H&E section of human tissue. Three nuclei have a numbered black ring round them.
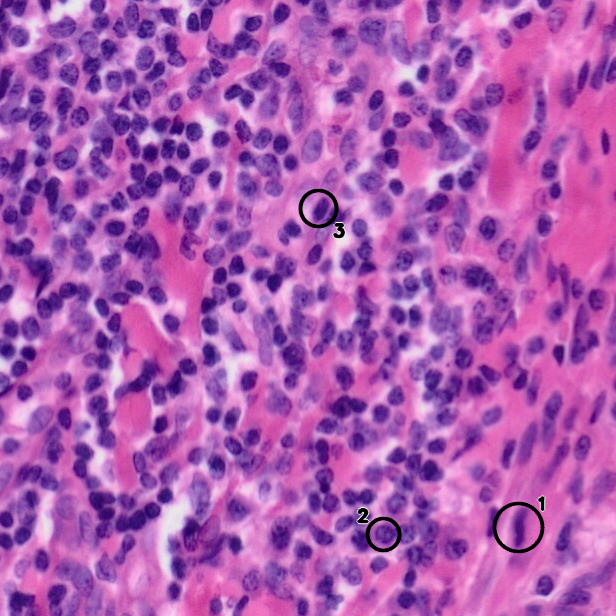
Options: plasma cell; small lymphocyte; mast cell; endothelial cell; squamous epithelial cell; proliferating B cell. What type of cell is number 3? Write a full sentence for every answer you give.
The cell whose nucleus carries the number 3 is an endothelial cell.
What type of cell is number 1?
Within this field of view, the cell labelled 1 is an endothelial cell.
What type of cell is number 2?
It is as a plasma cell that the cell numbered 2 is identified.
